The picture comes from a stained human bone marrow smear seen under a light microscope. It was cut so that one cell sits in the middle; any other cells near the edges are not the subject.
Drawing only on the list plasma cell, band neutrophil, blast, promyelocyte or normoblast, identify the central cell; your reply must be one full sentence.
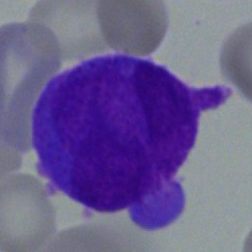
The central element of this crop is a cell, namely a blast.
